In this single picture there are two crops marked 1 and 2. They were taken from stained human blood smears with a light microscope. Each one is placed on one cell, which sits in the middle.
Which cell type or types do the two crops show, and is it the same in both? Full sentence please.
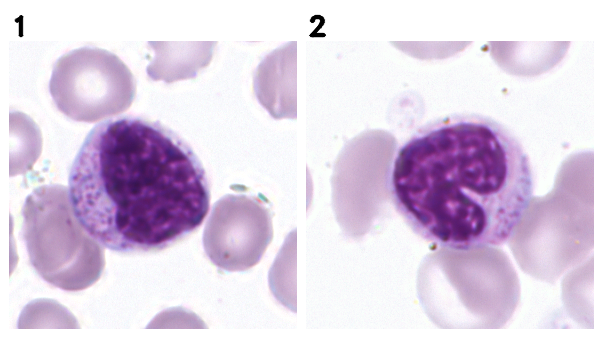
No, that is not right; crop 1 shows a metamyelocyte and crop 2 shows a band neutrophil.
